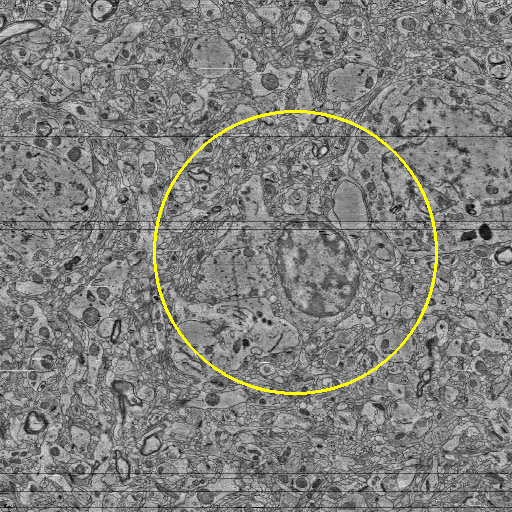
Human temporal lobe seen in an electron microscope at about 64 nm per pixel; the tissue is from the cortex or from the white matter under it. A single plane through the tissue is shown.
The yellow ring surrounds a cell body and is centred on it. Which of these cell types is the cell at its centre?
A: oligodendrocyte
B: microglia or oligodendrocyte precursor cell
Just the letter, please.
A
